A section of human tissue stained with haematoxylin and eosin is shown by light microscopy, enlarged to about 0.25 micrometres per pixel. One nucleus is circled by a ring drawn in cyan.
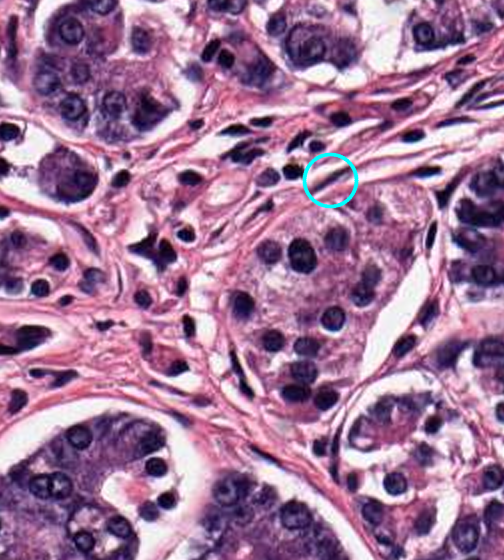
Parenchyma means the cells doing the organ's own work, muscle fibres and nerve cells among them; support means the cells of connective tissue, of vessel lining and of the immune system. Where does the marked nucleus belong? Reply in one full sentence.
A supporting cell is the cell in which the marked nucleus is found.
